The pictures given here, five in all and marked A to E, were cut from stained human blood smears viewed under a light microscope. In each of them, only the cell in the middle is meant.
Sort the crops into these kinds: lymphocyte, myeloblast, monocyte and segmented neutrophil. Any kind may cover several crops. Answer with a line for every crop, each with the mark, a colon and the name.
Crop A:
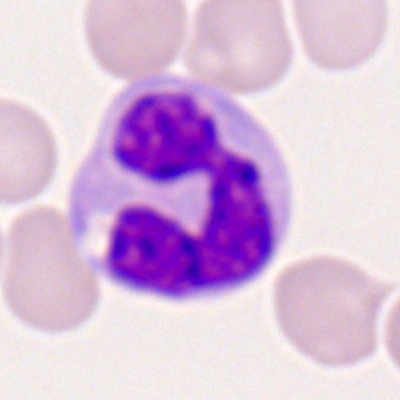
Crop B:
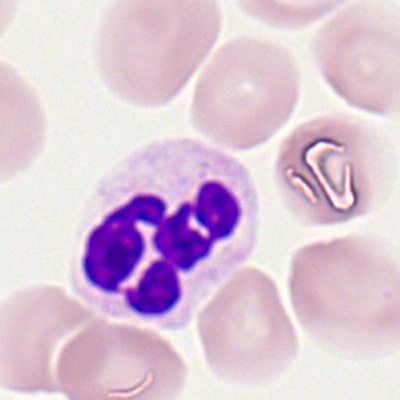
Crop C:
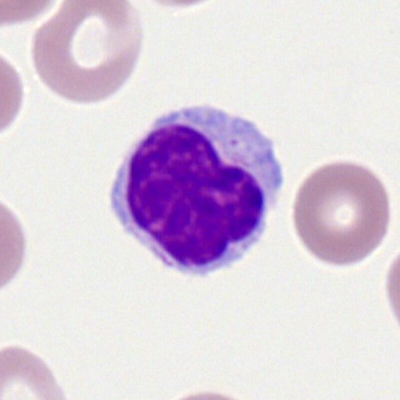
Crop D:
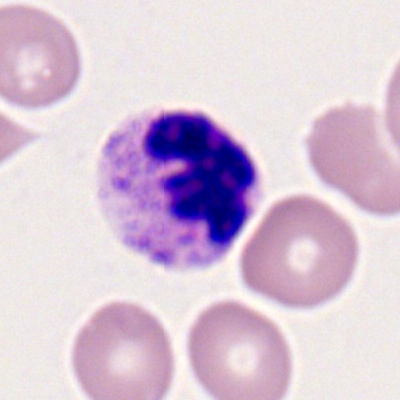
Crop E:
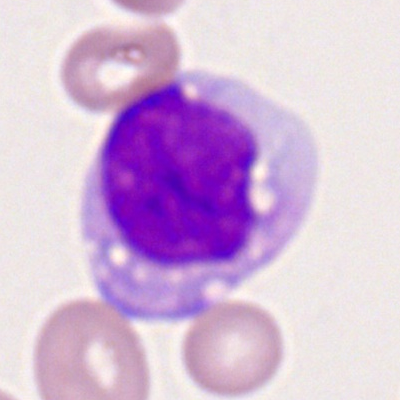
A: monocyte
B: segmented neutrophil
C: lymphocyte
D: segmented neutrophil
E: monocyte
